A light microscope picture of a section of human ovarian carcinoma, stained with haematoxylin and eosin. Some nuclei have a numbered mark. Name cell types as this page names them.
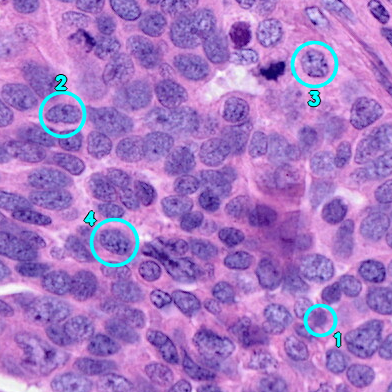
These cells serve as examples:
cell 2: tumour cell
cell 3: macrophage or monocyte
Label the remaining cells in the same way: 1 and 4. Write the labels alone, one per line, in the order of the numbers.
tumour cell
tumour cell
